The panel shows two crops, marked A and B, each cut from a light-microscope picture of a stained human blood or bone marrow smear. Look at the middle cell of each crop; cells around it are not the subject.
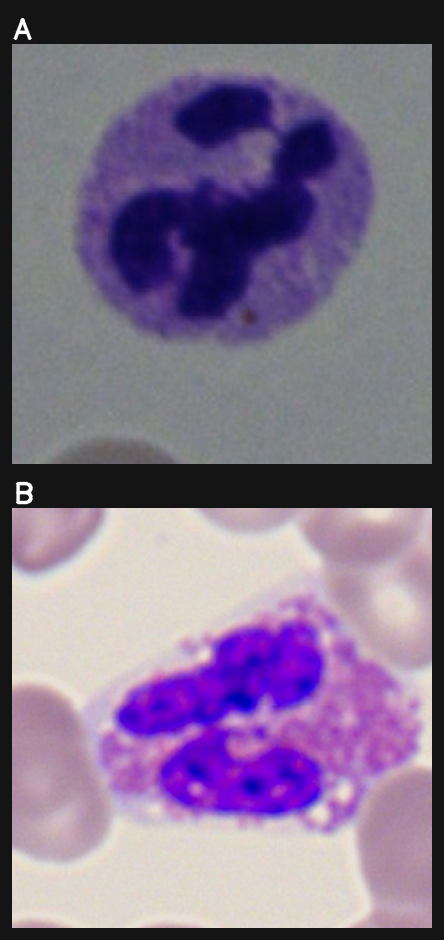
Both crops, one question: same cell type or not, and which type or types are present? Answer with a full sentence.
No, the cell that crop A shows is a segmented neutrophil, and the one crop B shows is an eosinophil.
